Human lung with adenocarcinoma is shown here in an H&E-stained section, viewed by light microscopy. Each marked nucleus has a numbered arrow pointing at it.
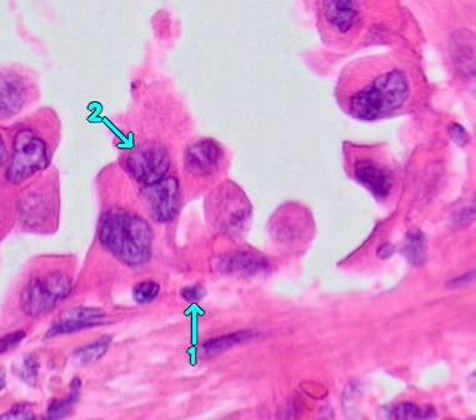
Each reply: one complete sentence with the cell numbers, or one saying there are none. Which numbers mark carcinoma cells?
The nucleus numbered 2 is the only one that belongs to a carcinoma cell.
